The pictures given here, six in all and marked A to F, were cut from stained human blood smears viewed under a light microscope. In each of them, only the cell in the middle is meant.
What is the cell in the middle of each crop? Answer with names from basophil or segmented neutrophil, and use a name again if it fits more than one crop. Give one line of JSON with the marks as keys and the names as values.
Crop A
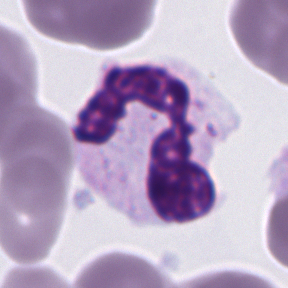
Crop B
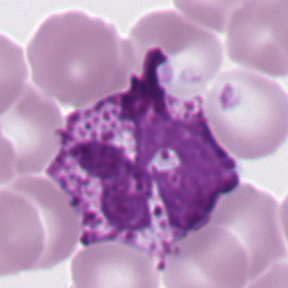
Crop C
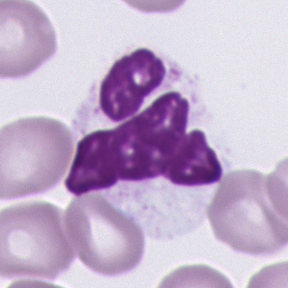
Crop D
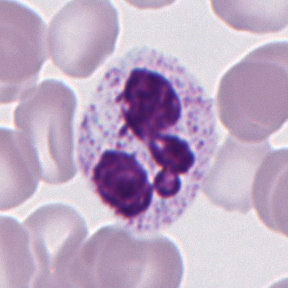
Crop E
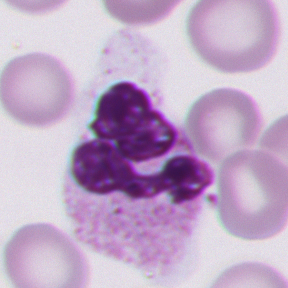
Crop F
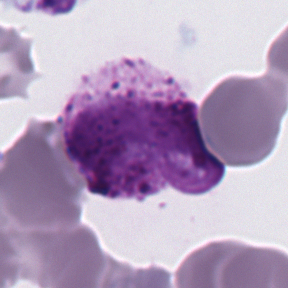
{"A": "segmented neutrophil", "B": "basophil", "C": "segmented neutrophil", "D": "segmented neutrophil", "E": "segmented neutrophil", "F": "basophil"}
